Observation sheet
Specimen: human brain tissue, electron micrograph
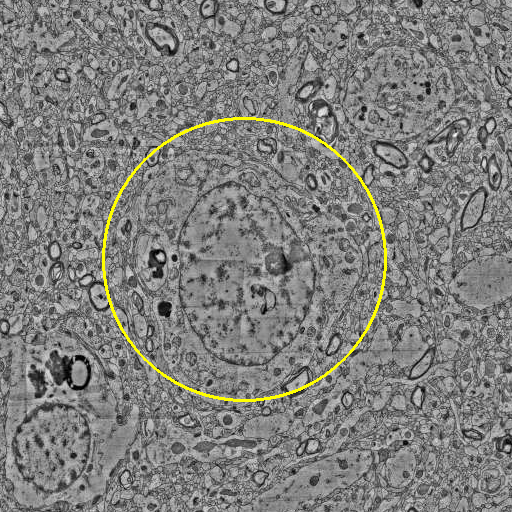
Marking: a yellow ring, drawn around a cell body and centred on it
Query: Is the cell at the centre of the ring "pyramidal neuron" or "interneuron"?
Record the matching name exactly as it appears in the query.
pyramidal neuron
